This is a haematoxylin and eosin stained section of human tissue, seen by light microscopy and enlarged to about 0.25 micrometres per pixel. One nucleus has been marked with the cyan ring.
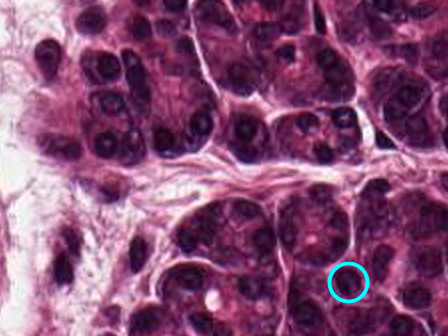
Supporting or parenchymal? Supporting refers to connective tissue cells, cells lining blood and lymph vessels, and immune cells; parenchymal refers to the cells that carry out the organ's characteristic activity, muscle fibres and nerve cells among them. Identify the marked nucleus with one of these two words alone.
parenchymal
